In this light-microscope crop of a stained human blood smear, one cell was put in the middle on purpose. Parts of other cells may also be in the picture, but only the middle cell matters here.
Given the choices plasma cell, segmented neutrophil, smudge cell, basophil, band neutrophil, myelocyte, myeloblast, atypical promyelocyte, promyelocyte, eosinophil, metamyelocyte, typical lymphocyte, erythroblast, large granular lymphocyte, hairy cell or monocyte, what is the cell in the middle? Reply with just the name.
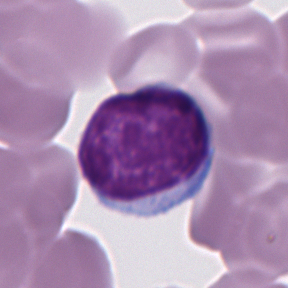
typical lymphocyte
